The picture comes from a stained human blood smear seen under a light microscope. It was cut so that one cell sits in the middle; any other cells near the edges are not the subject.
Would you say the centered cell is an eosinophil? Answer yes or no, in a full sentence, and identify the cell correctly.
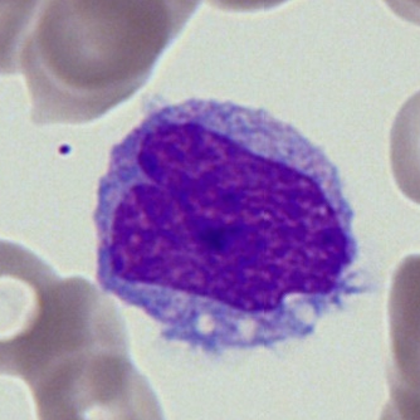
No, this cell in the middle is a monocyte, so it is not an eosinophil.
